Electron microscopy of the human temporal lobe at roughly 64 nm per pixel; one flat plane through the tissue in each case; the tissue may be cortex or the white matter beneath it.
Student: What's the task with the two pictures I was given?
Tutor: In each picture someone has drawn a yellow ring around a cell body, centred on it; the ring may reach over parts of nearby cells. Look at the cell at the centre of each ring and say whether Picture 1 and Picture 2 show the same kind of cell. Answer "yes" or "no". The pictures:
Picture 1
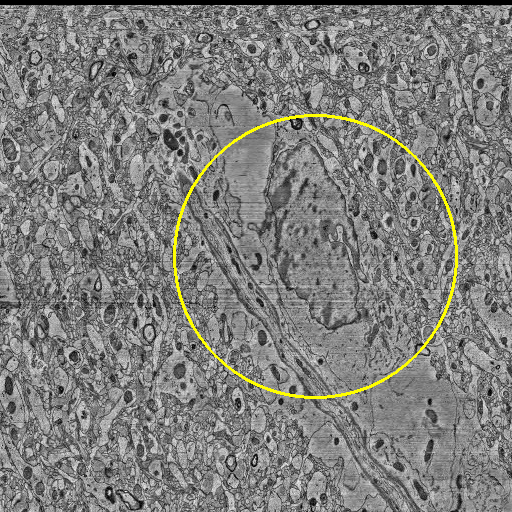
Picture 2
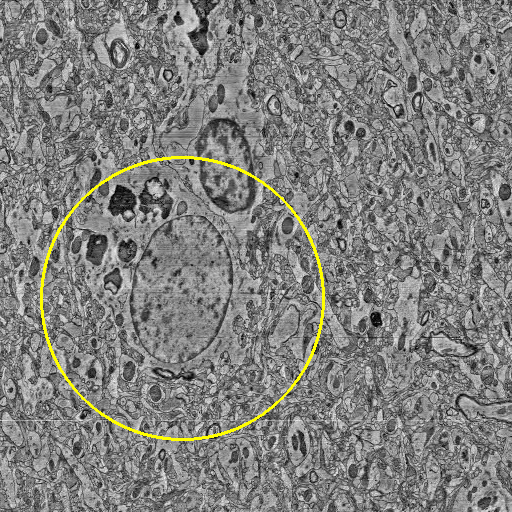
no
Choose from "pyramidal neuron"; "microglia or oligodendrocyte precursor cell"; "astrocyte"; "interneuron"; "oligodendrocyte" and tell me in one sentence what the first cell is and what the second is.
What the first ring is centred on is a microglial cell or oligodendrocyte precursor cell; what the second ring is centred on is an astrocyte.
